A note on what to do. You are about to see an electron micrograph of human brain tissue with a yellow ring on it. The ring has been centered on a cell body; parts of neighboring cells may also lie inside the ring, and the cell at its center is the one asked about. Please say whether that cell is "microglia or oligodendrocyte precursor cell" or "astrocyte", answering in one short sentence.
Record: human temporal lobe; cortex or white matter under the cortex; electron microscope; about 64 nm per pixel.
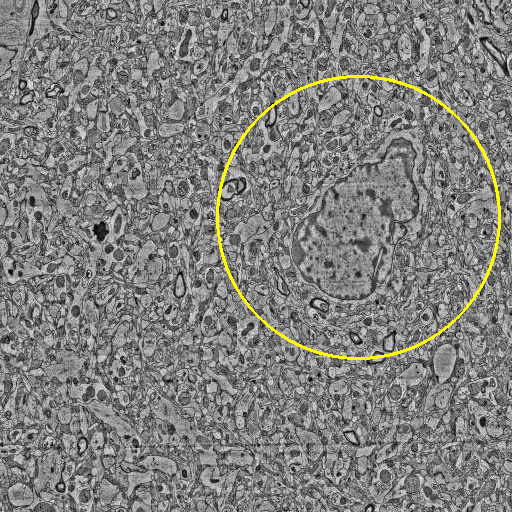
The yellow ring sits on a microglial cell or oligodendrocyte precursor cell.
